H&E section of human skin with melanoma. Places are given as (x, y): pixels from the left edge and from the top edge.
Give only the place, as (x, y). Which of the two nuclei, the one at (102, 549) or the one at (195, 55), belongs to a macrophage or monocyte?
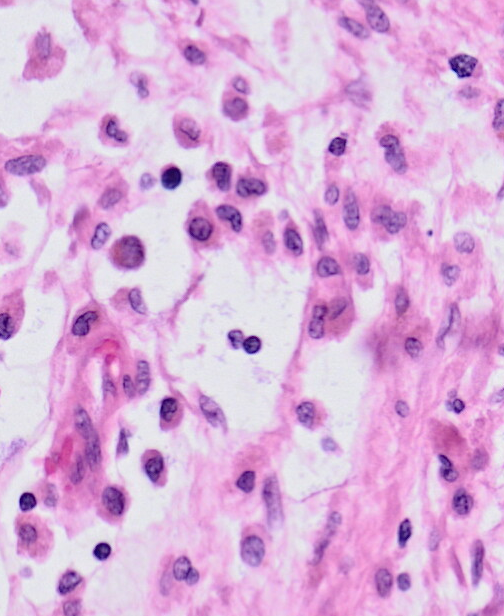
(195, 55)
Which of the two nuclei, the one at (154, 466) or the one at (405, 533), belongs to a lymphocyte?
(405, 533)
